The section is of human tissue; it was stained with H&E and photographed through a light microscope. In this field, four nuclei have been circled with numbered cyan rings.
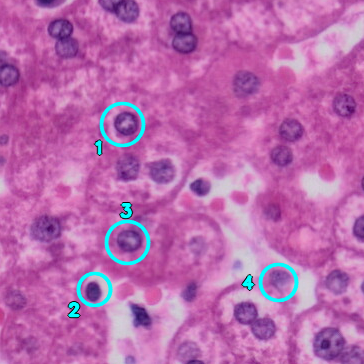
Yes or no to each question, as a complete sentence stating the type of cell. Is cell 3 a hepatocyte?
Yes, cell number 3 is classified as a hepatocyte.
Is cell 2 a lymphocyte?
Yes, the cell whose number is 2 is a lymphocyte.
